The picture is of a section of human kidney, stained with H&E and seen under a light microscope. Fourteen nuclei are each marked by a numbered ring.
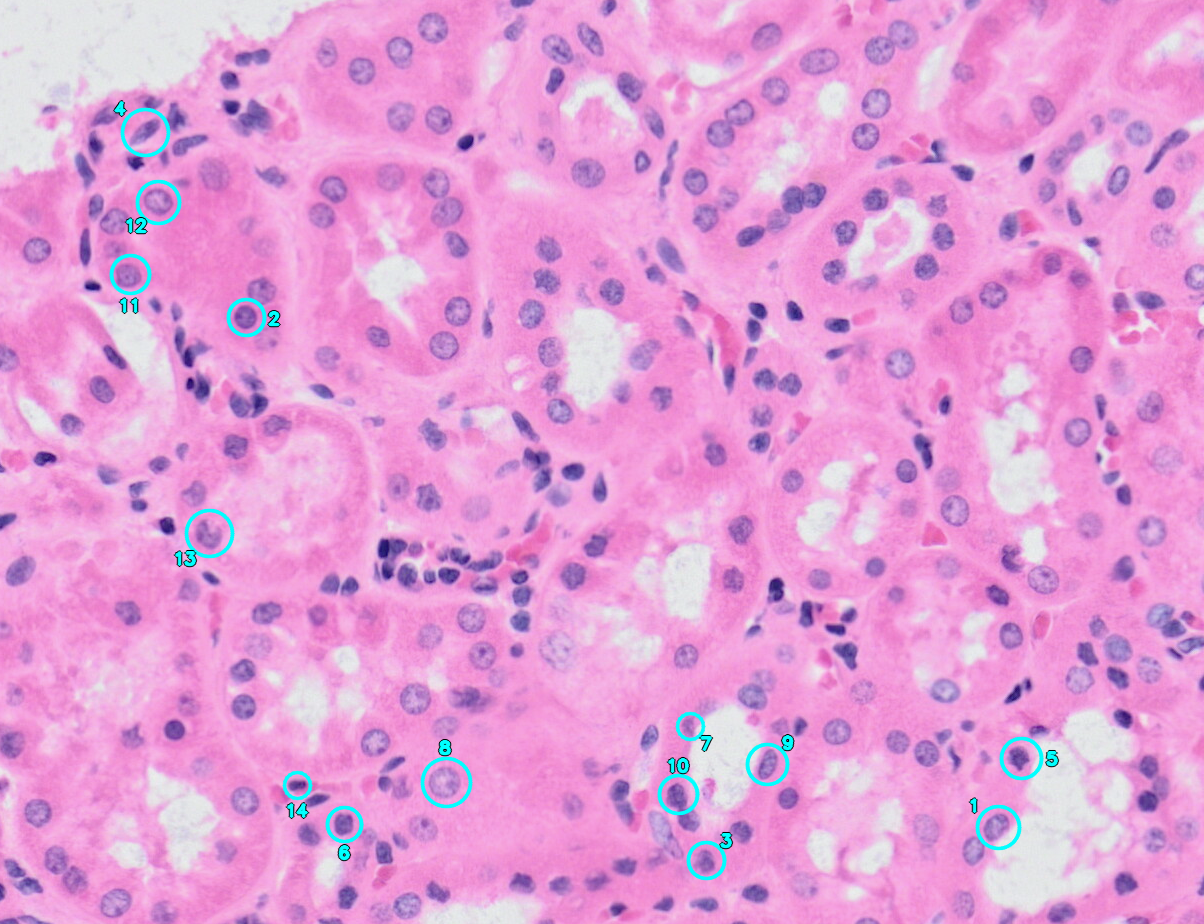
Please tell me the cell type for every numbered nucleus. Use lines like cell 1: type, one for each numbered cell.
cell 1: loop of Henle or distal tubule cell
cell 2: proximal tubule cell
cell 3: loop of Henle or distal tubule cell
cell 4: endothelial cell
cell 5: loop of Henle or distal tubule cell
cell 6: loop of Henle or distal tubule cell
cell 7: loop of Henle or distal tubule cell
cell 8: proximal tubule cell
cell 9: loop of Henle or distal tubule cell
cell 10: loop of Henle or distal tubule cell
cell 11: proximal tubule cell
cell 12: proximal tubule cell
cell 13: proximal tubule cell
cell 14: endothelial cell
